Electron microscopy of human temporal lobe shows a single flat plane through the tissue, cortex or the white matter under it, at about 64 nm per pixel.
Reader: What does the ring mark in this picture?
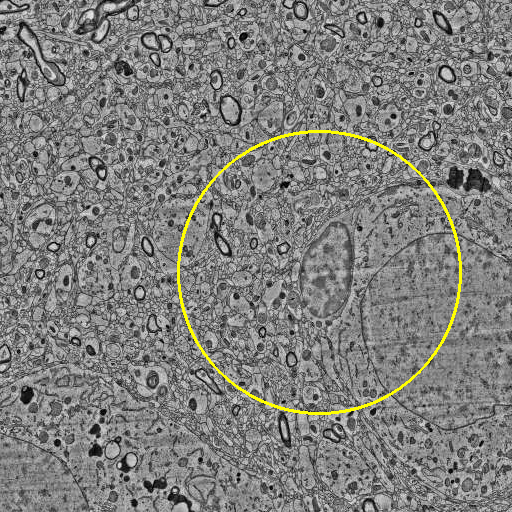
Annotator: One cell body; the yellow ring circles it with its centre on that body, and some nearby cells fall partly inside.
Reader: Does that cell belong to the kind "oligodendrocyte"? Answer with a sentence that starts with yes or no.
Yes, in this picture the ringed cell at the centre belongs to that kind.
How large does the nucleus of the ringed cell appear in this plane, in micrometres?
About 6 micrometres by about 3 micrometres in this plane.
